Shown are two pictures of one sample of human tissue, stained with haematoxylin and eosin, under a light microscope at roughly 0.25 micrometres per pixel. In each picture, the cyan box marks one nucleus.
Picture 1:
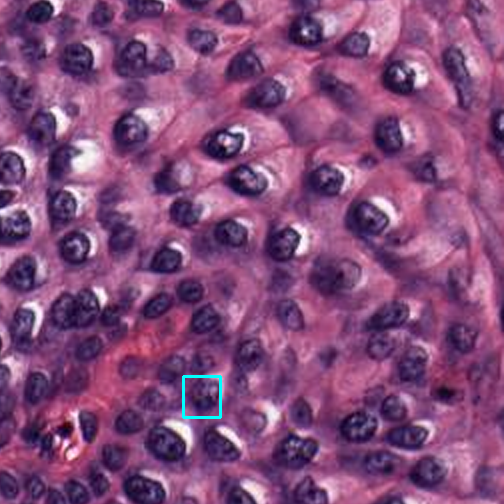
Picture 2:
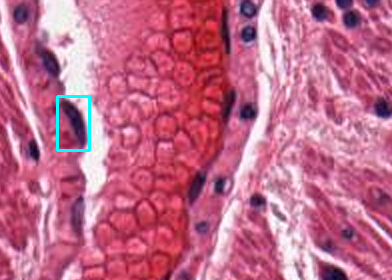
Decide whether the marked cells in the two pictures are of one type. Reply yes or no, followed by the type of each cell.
No, the first is a squamous epithelial cell and the second an endothelial cell.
